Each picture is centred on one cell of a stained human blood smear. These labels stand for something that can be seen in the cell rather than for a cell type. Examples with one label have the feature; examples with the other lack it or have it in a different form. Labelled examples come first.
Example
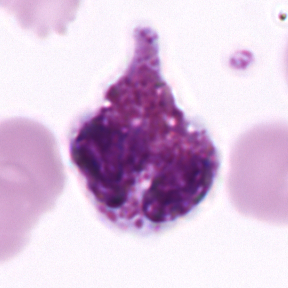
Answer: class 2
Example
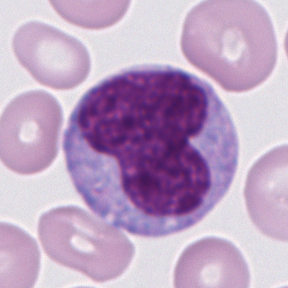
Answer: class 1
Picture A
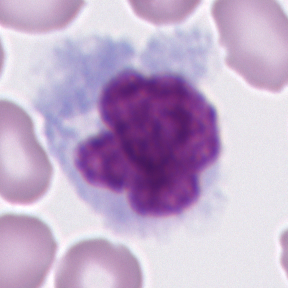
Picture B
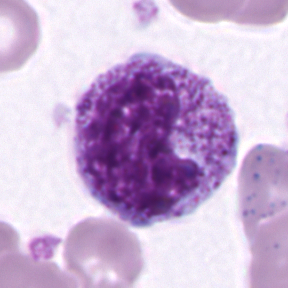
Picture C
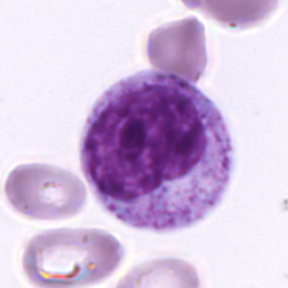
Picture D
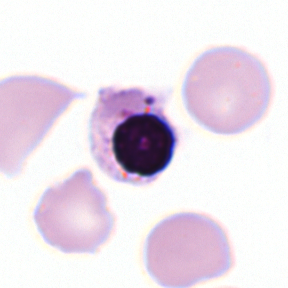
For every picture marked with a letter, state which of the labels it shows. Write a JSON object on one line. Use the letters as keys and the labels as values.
{"A": "class 2", "B": "class 2", "C": "class 1", "D": "class 1"}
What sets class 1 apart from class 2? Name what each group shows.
class 1: single compact nucleus; class 2: lobed nucleus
